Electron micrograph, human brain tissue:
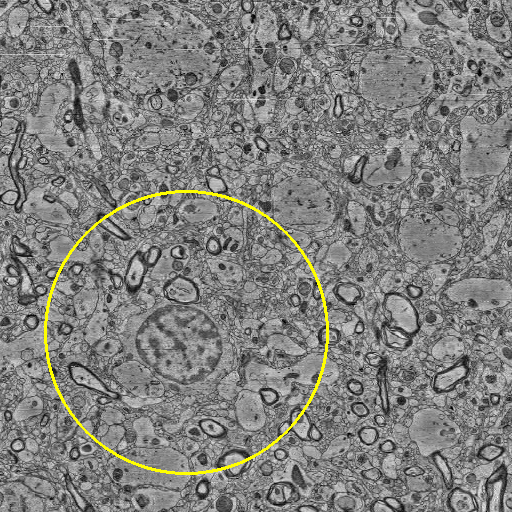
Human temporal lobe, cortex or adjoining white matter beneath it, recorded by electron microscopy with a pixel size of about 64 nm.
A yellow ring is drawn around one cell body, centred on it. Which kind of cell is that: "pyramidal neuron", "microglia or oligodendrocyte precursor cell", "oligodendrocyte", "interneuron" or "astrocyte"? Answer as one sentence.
It is an oligodendrocyte at the centre of the ring.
